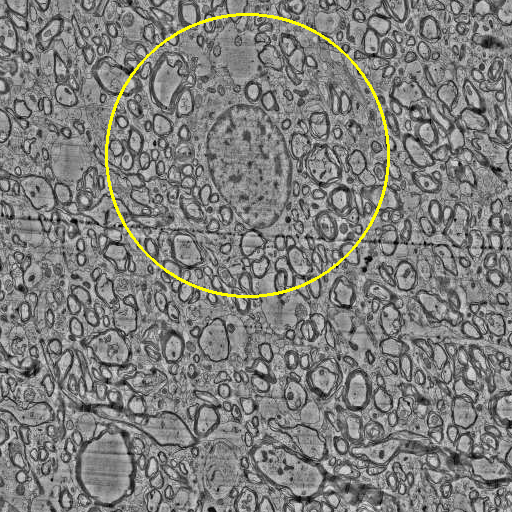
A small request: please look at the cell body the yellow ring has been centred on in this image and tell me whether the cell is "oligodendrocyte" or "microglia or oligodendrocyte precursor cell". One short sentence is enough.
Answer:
The cell marked by the ring is an oligodendrocyte.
